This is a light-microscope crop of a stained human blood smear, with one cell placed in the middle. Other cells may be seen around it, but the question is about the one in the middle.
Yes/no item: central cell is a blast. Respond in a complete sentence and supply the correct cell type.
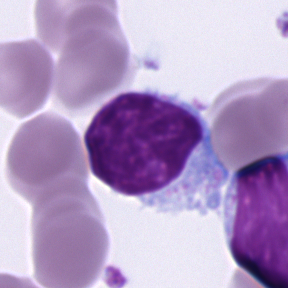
No, this one is a large granular lymphocyte; it is not a blast.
